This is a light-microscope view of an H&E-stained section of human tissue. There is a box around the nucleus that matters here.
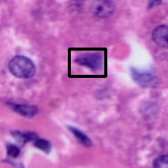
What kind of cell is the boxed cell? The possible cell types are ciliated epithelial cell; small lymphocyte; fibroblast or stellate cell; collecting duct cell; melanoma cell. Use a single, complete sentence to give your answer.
In the tissue at hand, the boxed cell is a fibroblast or stellate cell.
